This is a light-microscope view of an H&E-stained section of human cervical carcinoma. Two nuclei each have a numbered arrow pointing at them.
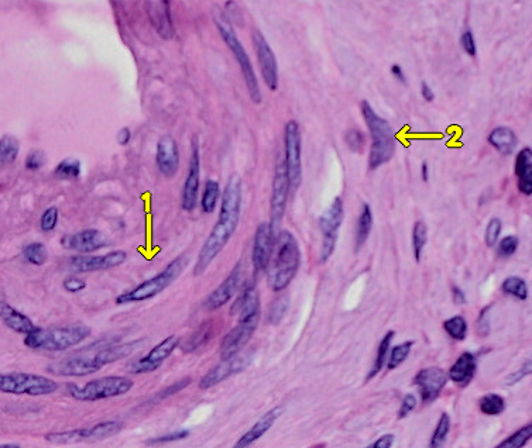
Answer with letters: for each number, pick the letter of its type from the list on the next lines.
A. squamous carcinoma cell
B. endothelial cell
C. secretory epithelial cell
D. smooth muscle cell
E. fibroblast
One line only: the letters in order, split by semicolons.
D; E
